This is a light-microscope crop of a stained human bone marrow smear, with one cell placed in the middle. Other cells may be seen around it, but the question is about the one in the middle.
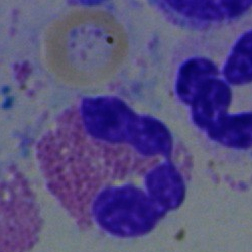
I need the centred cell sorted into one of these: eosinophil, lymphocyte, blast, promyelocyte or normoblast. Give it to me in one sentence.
The single cell at the center of the crop is an eosinophil.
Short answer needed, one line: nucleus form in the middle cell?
Segmentation of the nucleus into two or more lobes is the finding.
